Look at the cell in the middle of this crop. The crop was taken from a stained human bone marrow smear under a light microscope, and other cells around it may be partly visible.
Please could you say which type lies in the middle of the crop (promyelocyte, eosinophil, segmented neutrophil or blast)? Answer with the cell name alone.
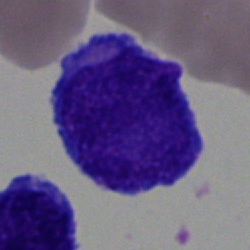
blast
